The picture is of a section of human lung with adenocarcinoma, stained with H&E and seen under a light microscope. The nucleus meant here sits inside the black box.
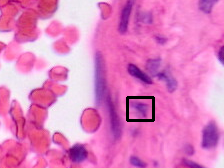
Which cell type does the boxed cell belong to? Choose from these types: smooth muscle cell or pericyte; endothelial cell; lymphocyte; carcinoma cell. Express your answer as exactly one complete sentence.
Placed in its cell category, the boxed cell is a smooth muscle cell or pericyte.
